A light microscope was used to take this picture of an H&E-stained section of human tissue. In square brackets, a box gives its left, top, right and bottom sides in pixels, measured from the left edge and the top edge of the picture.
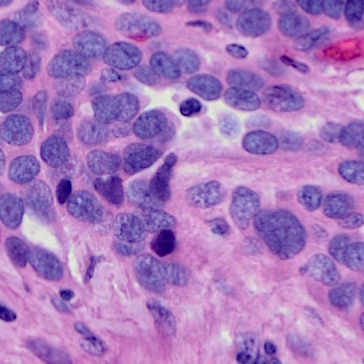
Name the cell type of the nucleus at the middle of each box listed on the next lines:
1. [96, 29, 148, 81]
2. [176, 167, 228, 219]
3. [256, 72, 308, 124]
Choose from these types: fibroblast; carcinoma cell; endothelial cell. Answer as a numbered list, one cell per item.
1. carcinoma cell
2. fibroblast
3. carcinoma cell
